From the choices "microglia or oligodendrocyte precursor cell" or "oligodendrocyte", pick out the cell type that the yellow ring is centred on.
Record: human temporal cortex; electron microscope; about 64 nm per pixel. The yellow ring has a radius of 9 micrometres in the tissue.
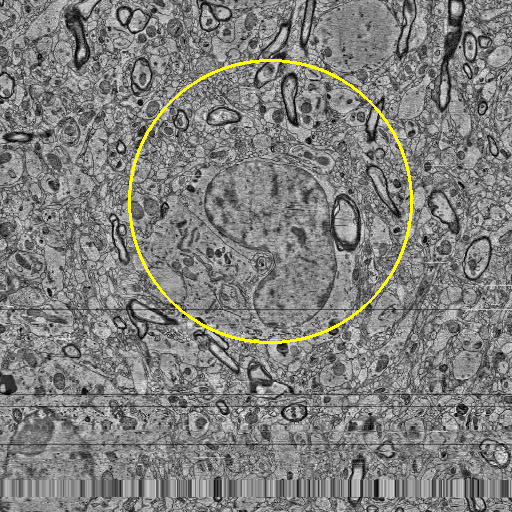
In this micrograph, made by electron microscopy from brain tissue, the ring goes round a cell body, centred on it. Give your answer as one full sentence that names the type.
The yellow ring is centred on a microglial cell or oligodendrocyte precursor cell, whose cell body it encircles in the picture.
